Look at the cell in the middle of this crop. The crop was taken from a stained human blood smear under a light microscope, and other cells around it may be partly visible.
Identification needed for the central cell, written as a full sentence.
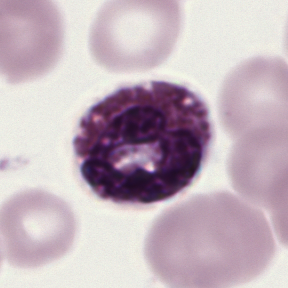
Classification of the middle cell gives an eosinophil.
